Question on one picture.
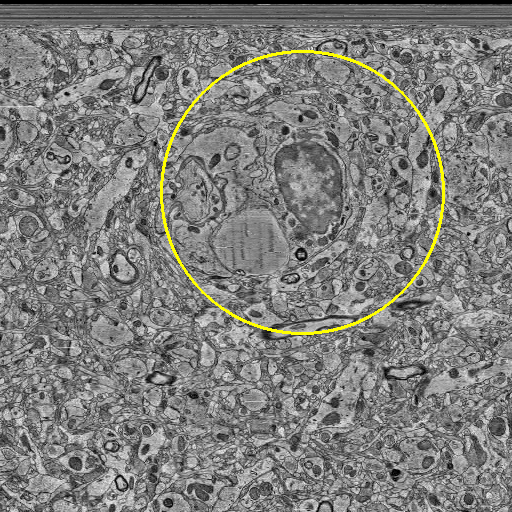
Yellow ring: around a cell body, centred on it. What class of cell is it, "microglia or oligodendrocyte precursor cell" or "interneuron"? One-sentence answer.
This is a microglial cell or oligodendrocyte precursor cell, the cell the ring is centred on.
